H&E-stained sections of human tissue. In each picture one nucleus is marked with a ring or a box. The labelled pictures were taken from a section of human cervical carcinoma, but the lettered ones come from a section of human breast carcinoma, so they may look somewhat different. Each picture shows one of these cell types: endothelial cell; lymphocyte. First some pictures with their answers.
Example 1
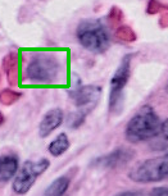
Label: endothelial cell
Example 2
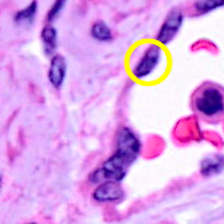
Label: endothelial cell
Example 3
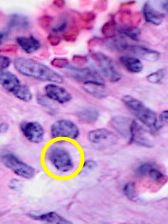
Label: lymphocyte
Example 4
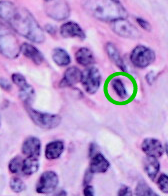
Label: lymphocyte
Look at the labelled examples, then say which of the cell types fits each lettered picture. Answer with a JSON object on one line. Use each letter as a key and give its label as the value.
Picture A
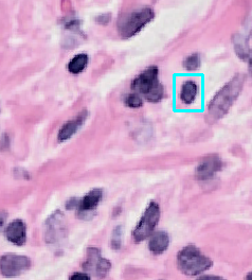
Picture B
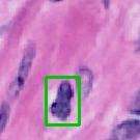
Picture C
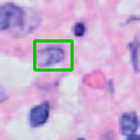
{"A": "lymphocyte", "B": "lymphocyte", "C": "endothelial cell"}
